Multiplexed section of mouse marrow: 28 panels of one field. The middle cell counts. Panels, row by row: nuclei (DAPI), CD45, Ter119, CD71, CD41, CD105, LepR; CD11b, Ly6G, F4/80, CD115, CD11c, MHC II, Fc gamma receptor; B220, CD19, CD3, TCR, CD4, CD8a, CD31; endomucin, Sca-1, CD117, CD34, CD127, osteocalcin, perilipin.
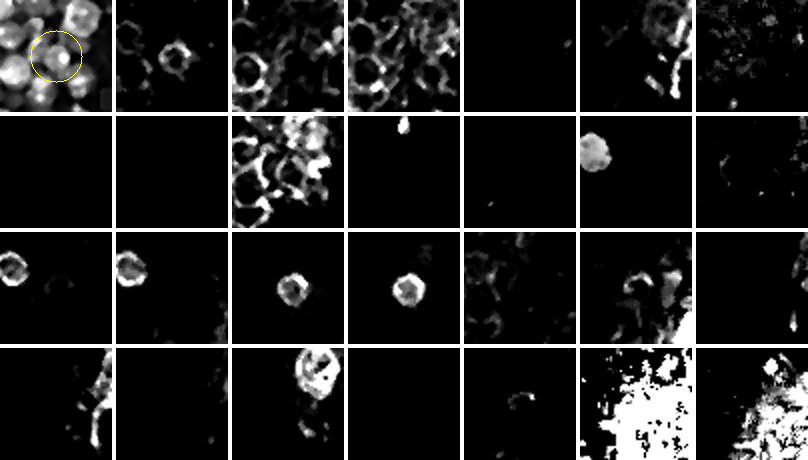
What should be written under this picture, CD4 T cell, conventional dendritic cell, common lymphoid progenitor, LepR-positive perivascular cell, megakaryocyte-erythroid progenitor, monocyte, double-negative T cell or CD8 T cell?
double-negative T cell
